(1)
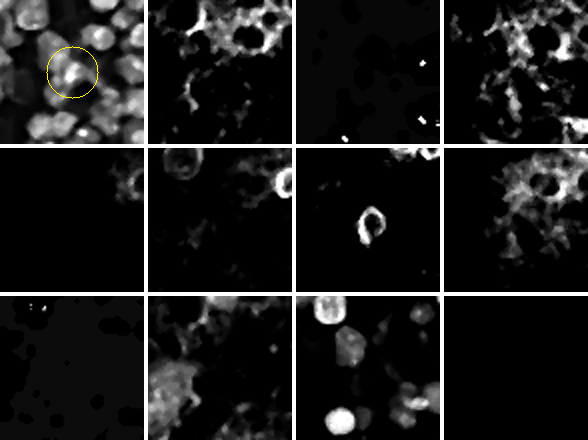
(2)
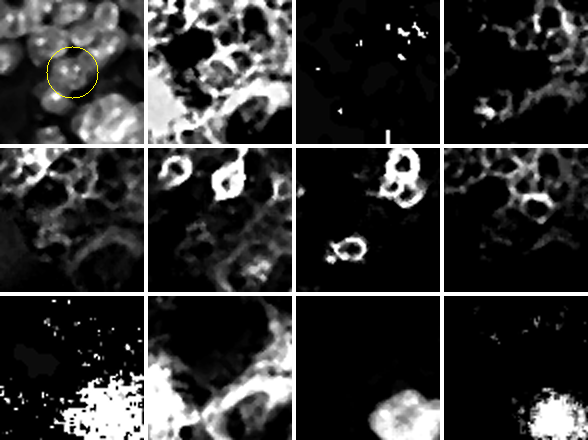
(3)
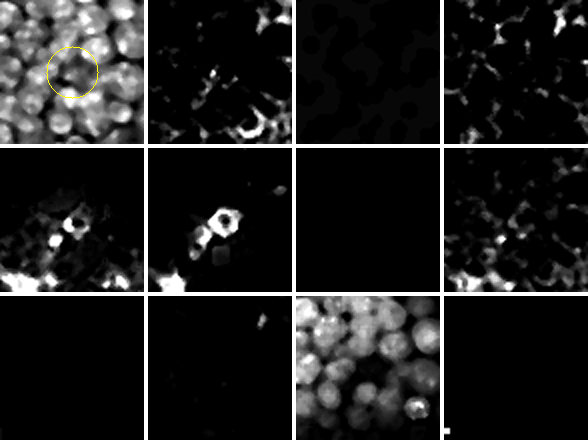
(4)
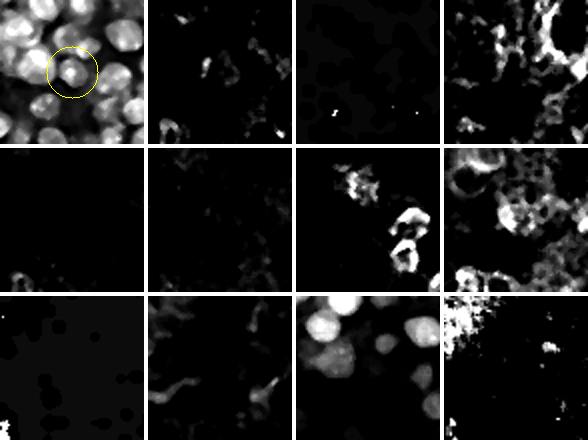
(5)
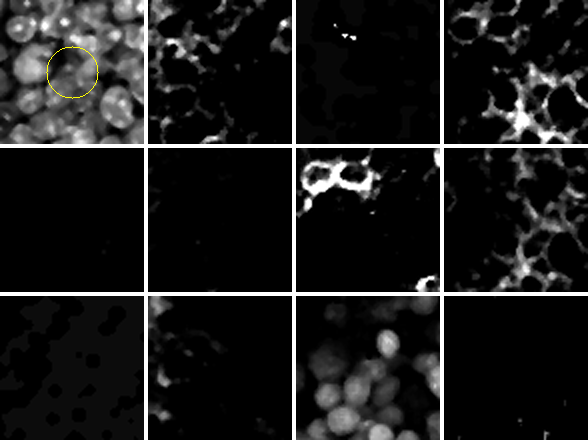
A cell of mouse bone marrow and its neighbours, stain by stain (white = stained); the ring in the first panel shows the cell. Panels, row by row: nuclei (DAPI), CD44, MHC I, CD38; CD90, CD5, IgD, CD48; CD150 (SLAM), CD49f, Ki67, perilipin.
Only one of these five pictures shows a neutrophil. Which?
Picture 2.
